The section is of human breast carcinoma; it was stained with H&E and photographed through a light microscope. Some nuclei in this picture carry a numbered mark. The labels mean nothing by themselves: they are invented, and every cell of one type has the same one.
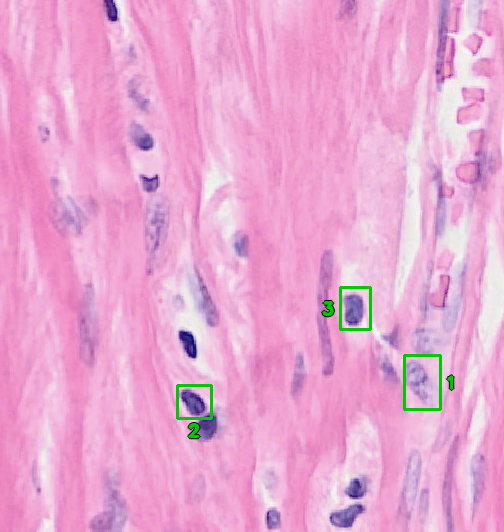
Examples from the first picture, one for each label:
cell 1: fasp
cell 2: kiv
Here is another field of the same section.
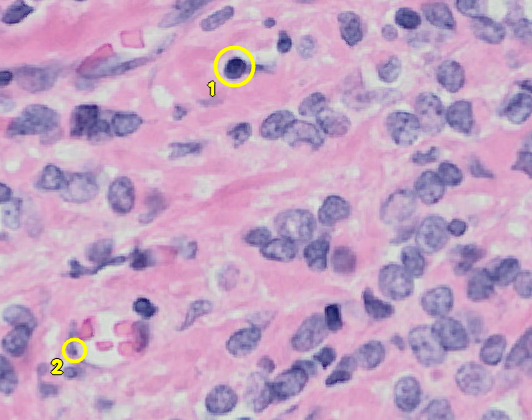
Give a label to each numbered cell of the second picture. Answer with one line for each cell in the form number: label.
1: kiv
2: fasp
